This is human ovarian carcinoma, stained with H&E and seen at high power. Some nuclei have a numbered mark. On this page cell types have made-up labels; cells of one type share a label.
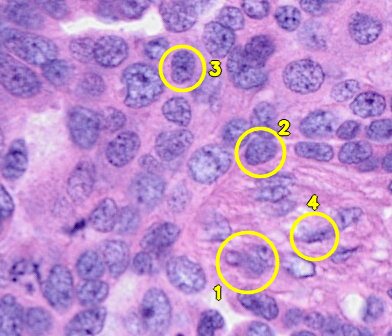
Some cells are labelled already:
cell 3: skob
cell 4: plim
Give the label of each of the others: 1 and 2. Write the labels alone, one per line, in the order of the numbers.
plim
skob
